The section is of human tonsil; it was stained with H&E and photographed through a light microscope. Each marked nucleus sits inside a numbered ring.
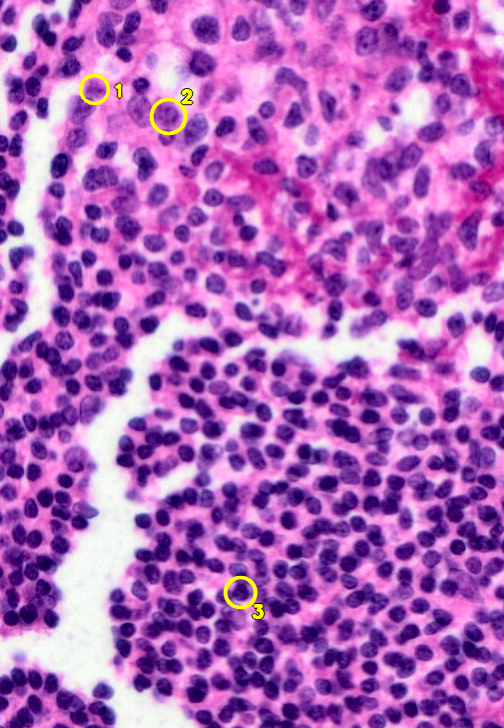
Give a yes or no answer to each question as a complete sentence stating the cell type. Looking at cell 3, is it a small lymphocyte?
Yes, that is correct: the cell numbered 3 is a small lymphocyte.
